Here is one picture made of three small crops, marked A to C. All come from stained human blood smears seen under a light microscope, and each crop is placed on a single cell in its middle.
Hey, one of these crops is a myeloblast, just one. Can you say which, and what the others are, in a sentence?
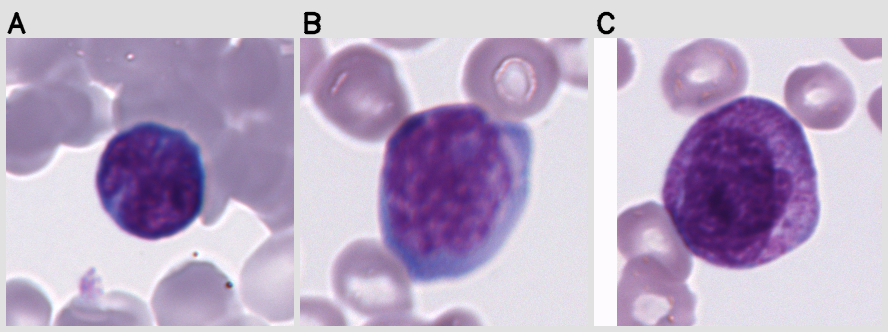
The cell shown in crop B is a myeloblast, whereas crop A is a typical lymphocyte and crop C is an atypical promyelocyte.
